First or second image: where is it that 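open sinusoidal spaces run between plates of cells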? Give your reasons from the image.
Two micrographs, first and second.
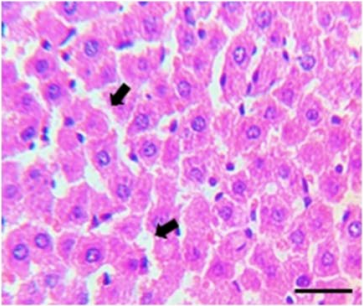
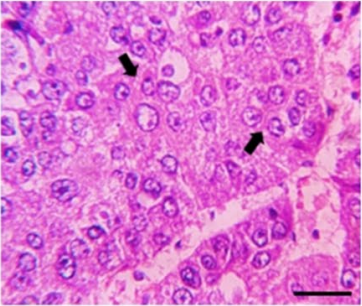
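The first image. Second image: cells lie in solid sheets with few pale spaces between them. First image: clear pale channels separate orderly plates of cells.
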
